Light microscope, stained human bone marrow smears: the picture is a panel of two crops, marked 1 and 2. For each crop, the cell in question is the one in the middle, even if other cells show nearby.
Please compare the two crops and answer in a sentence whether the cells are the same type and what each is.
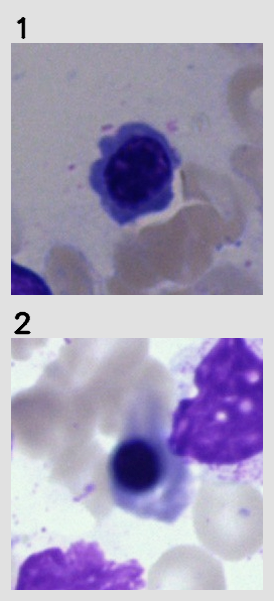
Yes, put down normoblasts for both crops.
